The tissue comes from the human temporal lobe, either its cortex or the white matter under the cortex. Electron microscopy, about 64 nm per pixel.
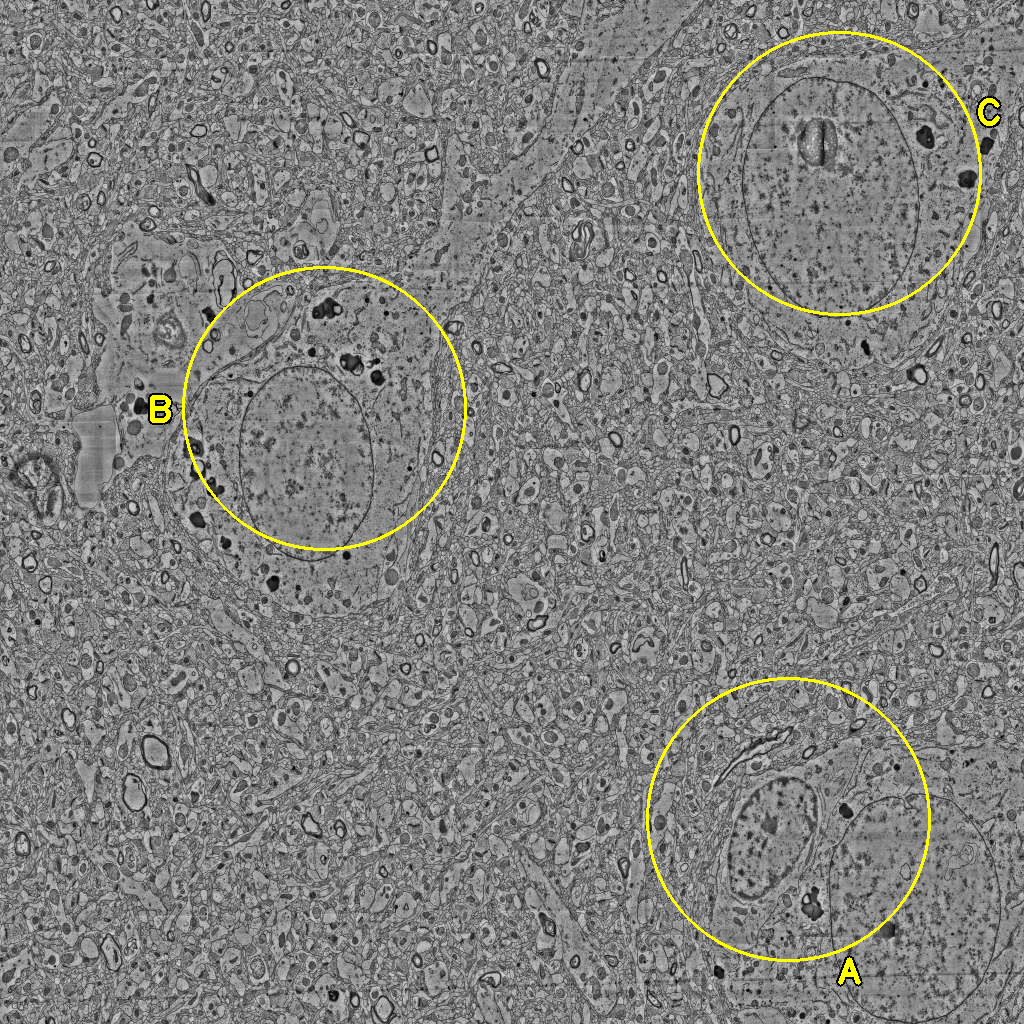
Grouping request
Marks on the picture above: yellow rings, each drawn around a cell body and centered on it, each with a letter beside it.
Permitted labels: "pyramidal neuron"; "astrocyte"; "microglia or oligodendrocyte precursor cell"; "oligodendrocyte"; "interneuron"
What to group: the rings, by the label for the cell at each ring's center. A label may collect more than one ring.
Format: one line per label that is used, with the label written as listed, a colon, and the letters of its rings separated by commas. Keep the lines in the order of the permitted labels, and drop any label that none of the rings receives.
pyramidal neuron: B, C
microglia or oligodendrocyte precursor cell: A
